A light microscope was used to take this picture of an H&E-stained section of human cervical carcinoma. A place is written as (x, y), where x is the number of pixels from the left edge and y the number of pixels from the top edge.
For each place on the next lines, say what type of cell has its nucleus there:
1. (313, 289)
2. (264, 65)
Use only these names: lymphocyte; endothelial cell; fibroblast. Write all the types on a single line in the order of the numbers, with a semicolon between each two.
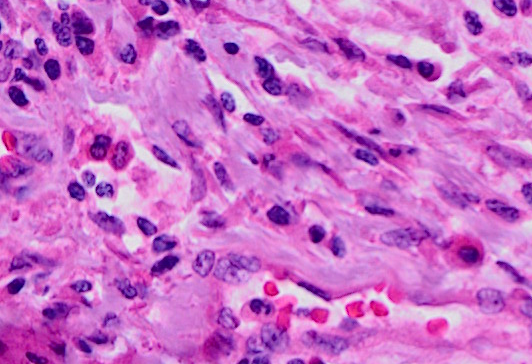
endothelial cell; lymphocyte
